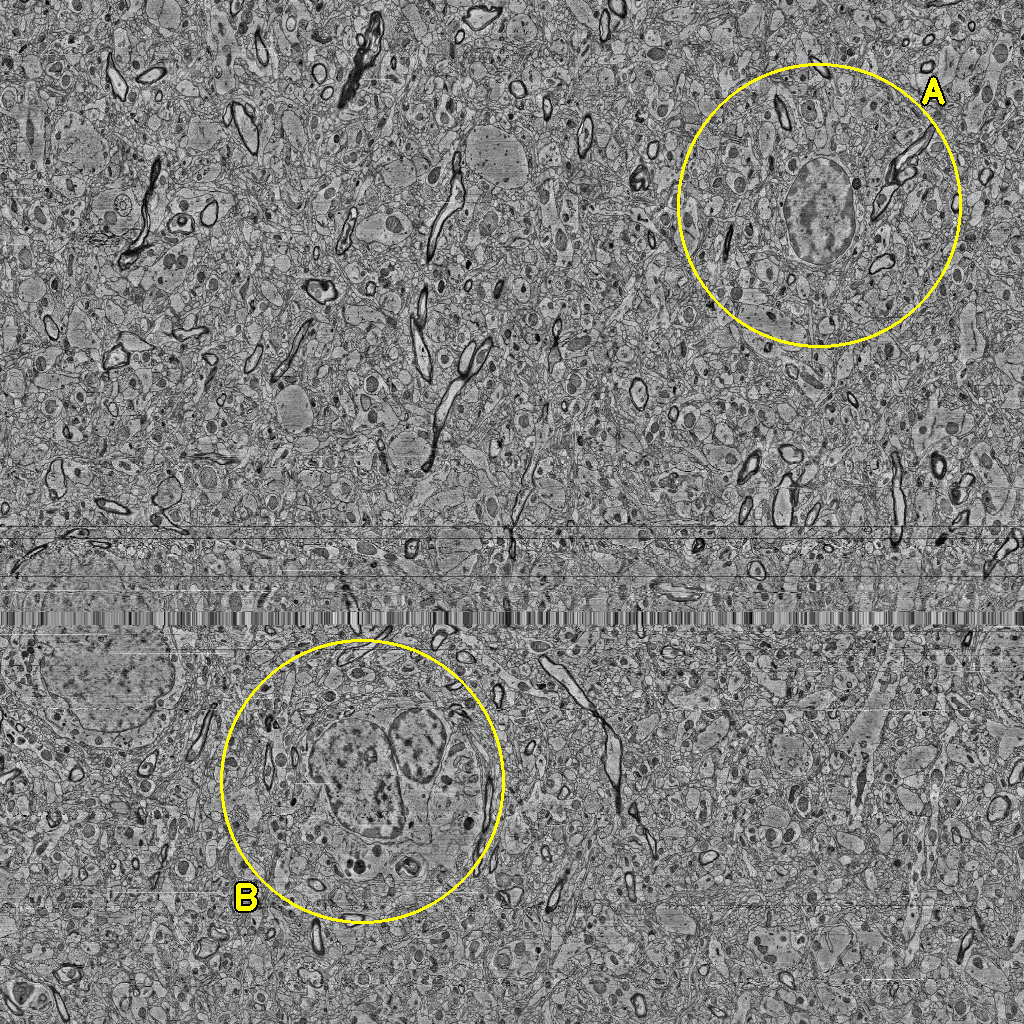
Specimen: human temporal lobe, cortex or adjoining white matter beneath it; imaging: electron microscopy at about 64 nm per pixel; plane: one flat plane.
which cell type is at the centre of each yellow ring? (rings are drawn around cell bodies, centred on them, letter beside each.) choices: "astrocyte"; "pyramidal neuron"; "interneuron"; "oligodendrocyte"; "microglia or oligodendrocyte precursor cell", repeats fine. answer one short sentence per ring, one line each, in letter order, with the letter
Ring A is a microglial cell or oligodendrocyte precursor cell.
Ring B is a microglial cell or oligodendrocyte precursor cell.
